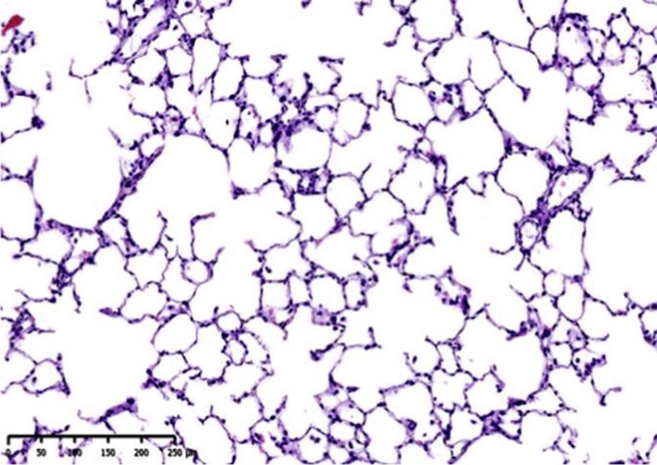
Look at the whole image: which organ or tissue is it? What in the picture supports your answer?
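A lace-like network of thin walls encloses open air spaces. The walls carry small dark purple nuclei and little else. No solid, cell-filled areas interrupt the network.
Pulmonary parenchyma.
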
